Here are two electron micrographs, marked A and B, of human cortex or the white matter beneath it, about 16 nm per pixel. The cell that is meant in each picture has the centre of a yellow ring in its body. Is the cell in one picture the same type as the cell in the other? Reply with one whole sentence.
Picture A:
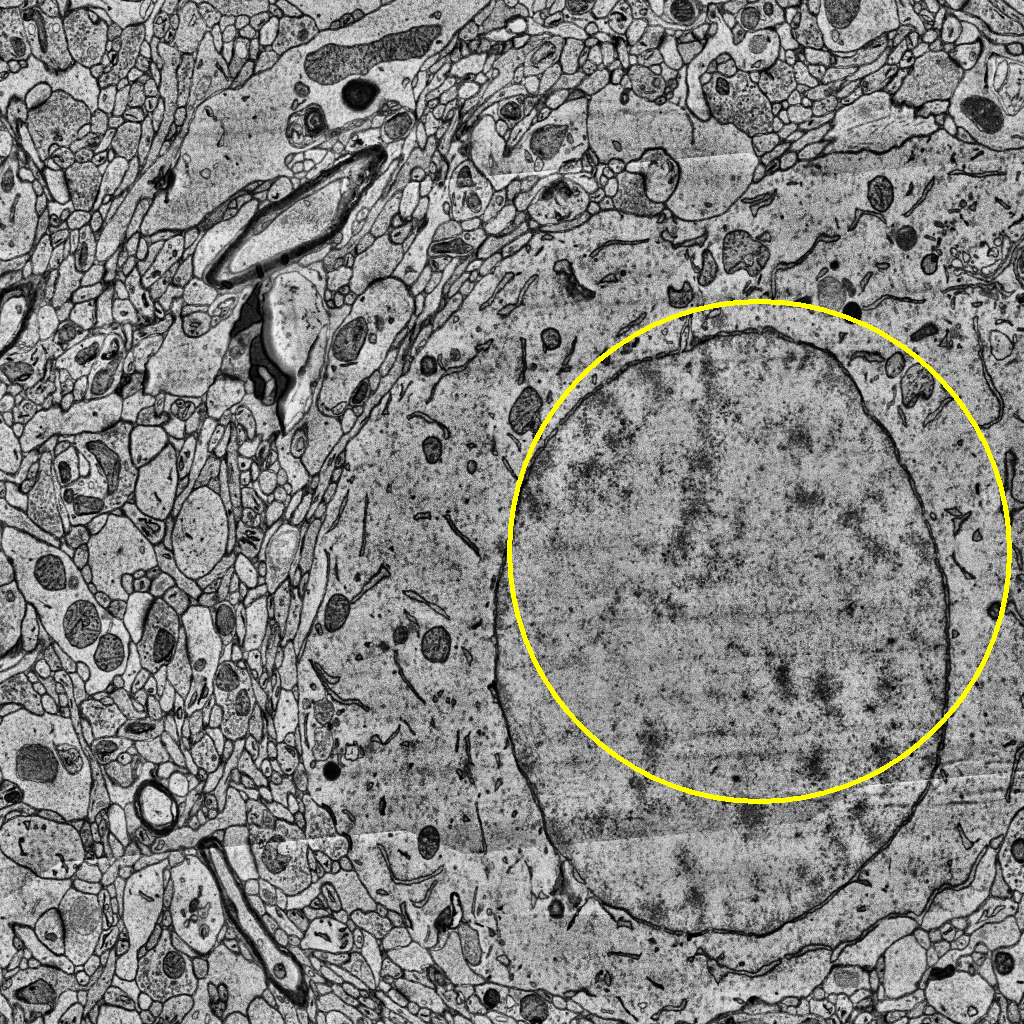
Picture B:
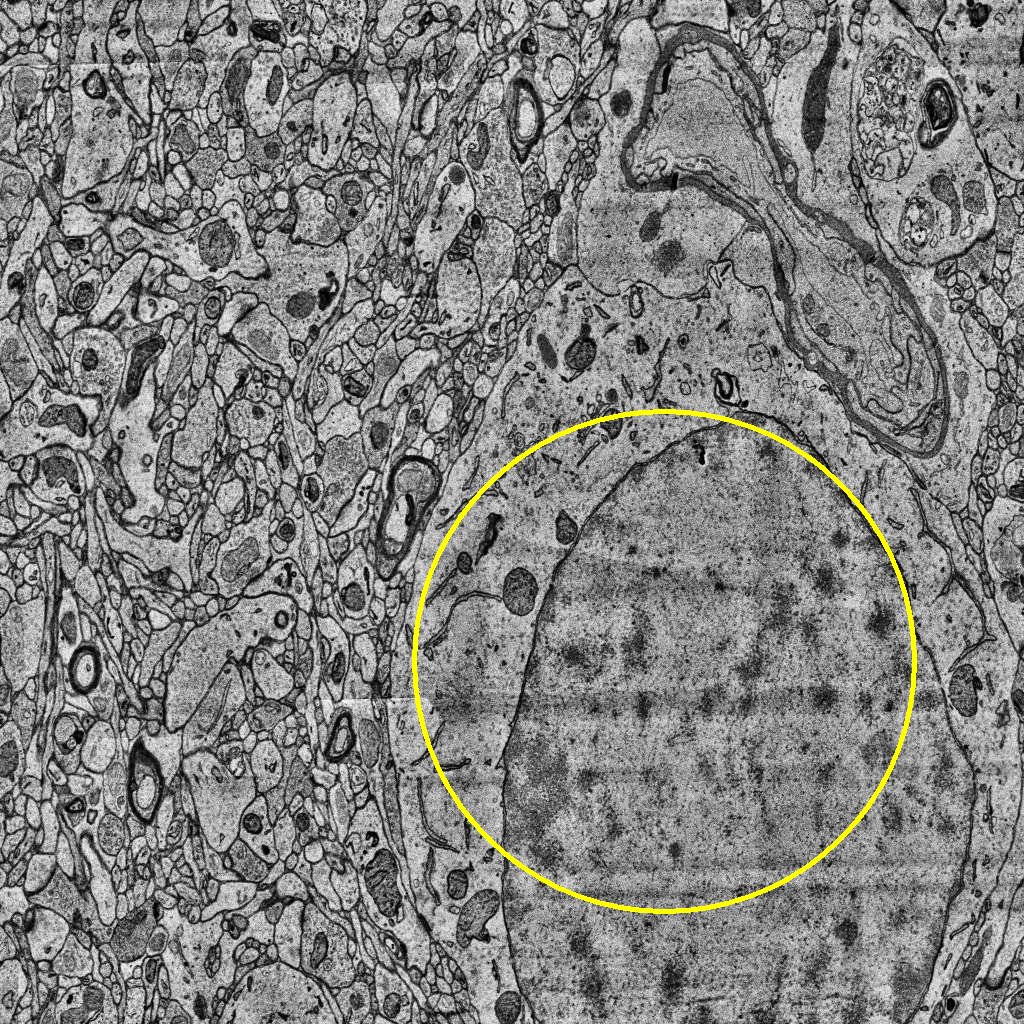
Yes; the cells in both pictures are pyramidal neurons.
